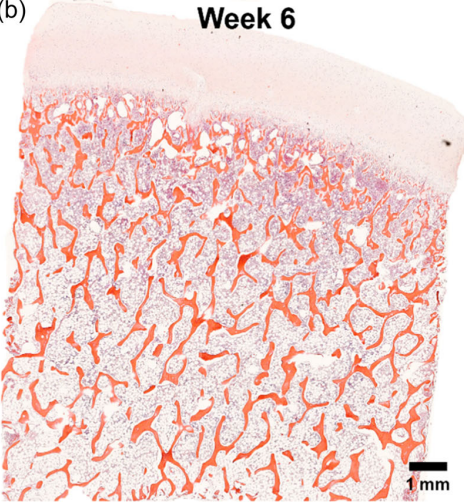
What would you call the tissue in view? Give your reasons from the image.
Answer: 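Osteochondral tissue. A pale smooth layer caps the top of the section. Below it lies a network of orange-pink trabeculae with cell-filled spaces between them.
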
